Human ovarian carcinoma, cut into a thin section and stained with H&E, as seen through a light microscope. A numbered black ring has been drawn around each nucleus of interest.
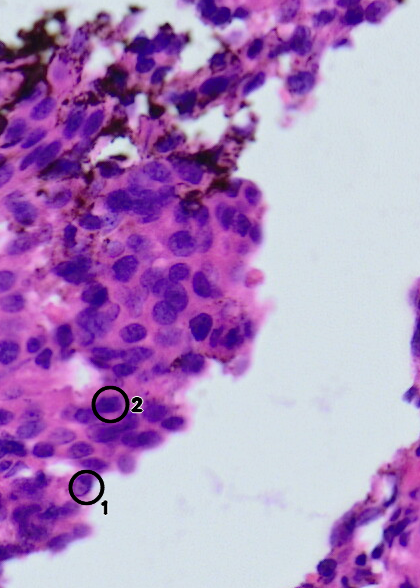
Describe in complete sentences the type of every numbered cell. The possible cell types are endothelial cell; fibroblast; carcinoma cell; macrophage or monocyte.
Cell 1 is a macrophage or monocyte. Cell 2 is a carcinoma cell.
